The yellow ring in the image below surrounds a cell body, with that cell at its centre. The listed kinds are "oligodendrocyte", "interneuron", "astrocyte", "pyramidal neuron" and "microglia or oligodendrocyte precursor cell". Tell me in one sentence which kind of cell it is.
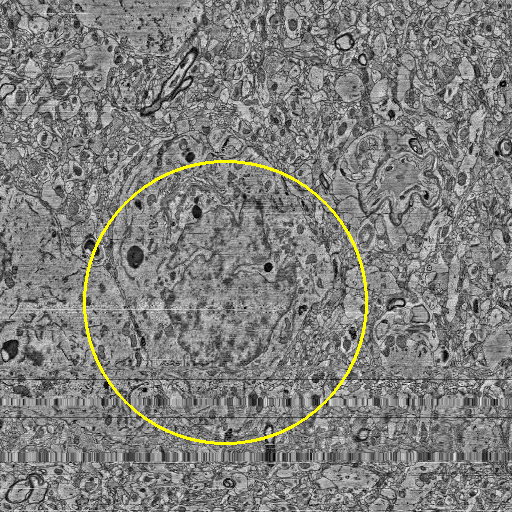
The centre of the ring holds an interneuron.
